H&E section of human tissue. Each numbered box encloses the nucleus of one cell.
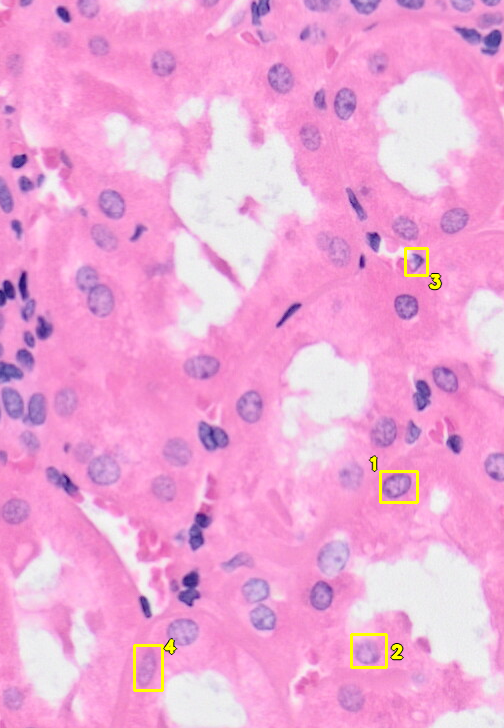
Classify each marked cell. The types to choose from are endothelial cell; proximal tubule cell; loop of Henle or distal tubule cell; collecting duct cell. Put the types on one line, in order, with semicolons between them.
proximal tubule cell; proximal tubule cell; endothelial cell; proximal tubule cell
